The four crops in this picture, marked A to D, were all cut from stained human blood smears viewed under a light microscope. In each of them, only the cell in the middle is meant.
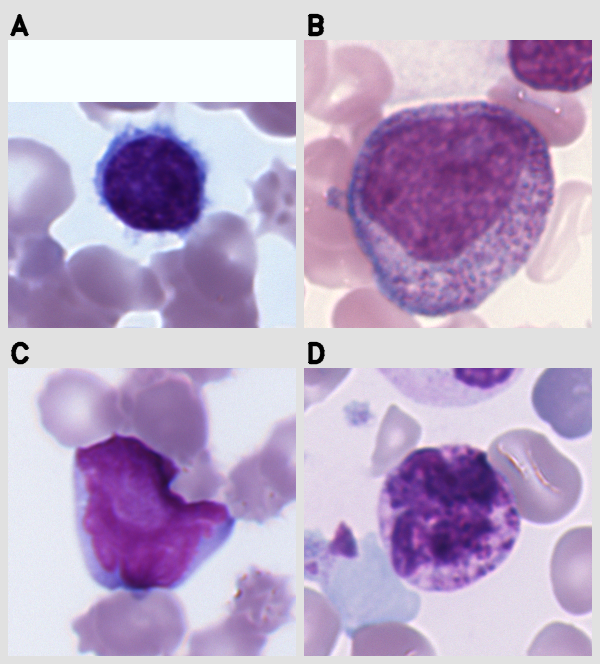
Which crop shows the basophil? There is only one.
D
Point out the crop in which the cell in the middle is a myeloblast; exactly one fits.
C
